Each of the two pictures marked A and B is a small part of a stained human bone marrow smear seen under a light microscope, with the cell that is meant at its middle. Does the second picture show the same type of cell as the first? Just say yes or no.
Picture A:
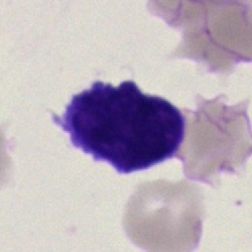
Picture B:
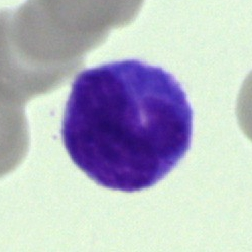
no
